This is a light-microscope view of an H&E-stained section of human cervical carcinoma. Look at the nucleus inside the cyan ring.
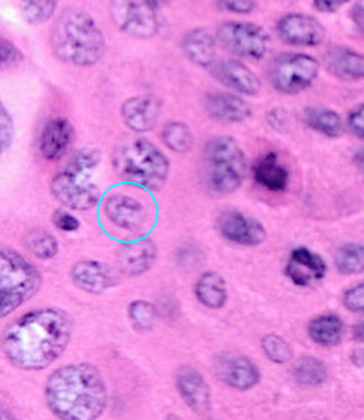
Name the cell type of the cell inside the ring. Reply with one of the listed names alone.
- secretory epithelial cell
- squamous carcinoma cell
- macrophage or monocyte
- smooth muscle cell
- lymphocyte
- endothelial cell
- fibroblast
squamous carcinoma cell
